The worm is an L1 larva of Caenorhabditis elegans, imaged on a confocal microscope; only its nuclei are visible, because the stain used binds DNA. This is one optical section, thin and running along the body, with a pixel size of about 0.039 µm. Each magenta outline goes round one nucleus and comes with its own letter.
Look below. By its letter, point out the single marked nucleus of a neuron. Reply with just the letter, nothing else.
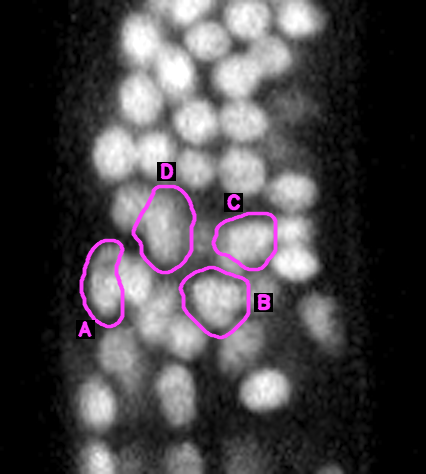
C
